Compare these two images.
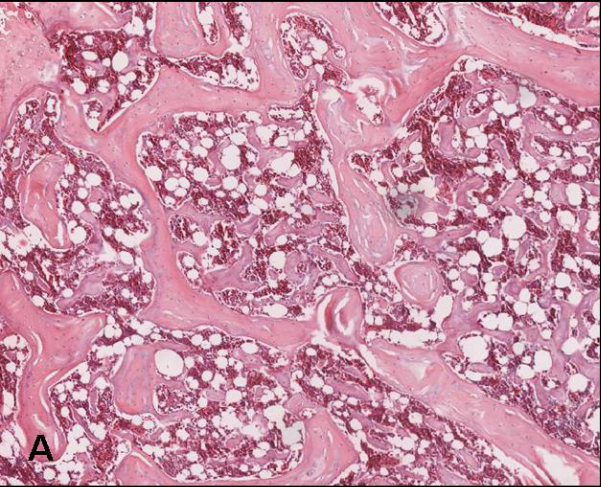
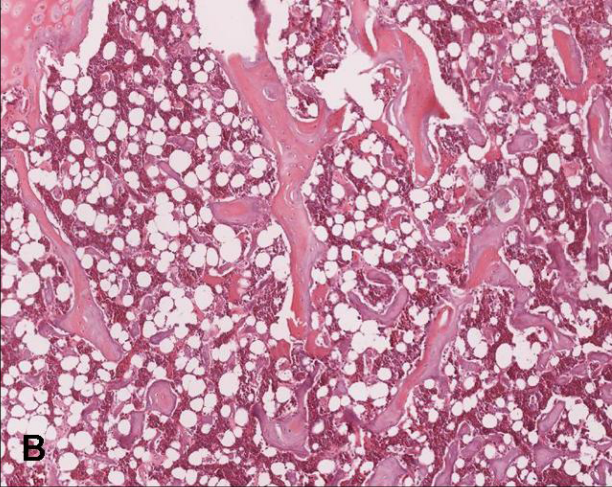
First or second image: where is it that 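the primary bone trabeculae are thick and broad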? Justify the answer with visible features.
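The first image. Second image: the pink bone trabeculae are narrow strands between large marrow spaces. First image: the pink bone trabeculae form wide bands across the field.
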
